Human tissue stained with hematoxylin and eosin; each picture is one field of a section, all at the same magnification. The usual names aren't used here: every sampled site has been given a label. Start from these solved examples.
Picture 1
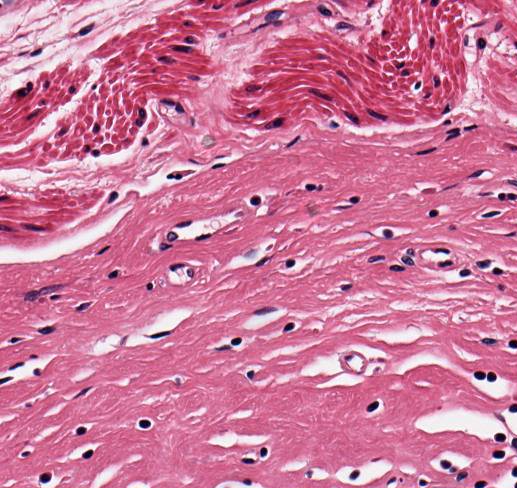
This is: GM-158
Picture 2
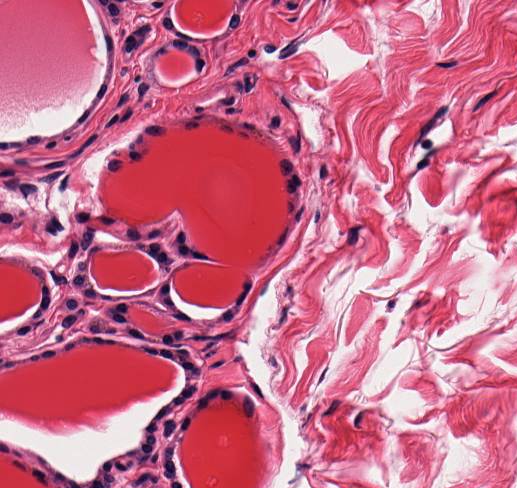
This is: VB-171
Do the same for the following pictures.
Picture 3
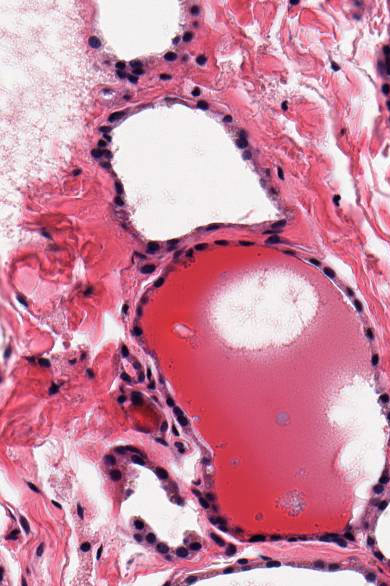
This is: VB-171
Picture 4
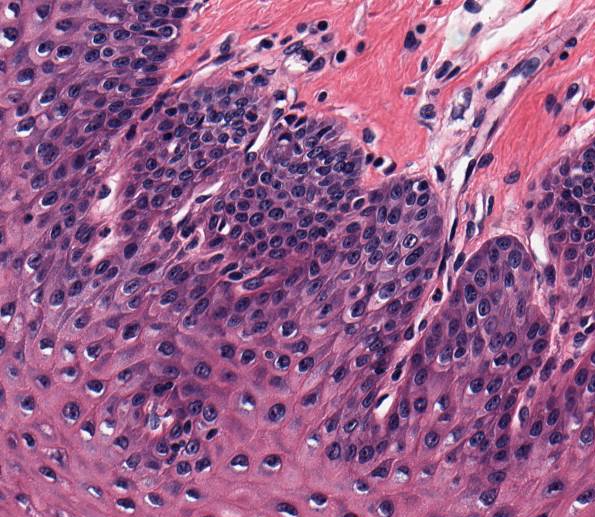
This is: GM-158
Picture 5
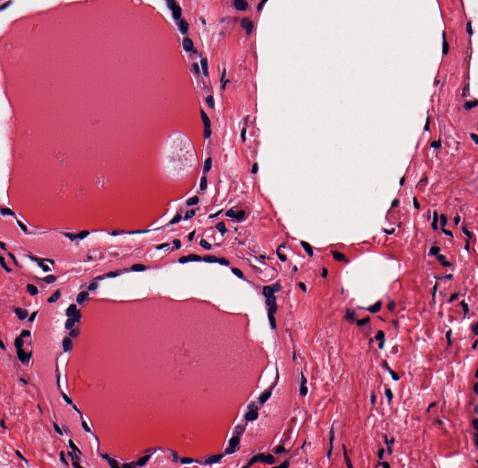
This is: VB-171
